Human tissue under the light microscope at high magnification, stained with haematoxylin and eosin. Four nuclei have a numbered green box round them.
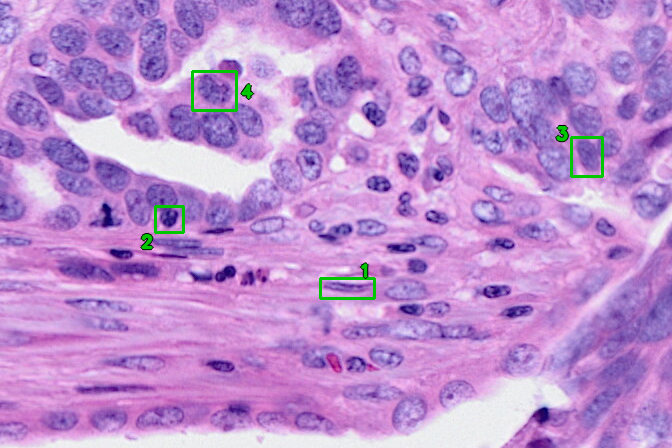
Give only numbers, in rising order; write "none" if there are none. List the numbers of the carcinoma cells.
3, 4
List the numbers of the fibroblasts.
1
